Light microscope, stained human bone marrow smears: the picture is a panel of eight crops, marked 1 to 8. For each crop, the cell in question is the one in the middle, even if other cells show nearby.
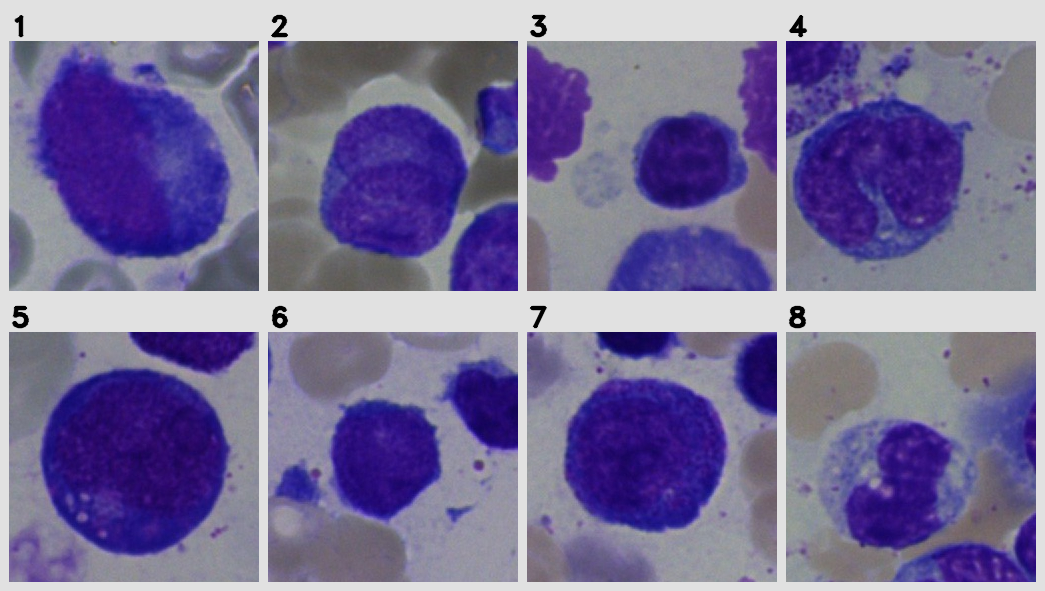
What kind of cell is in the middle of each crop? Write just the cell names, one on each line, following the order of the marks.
promyelocyte
blast
lymphocyte
monocyte
promyelocyte
blast
promyelocyte
monocyte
